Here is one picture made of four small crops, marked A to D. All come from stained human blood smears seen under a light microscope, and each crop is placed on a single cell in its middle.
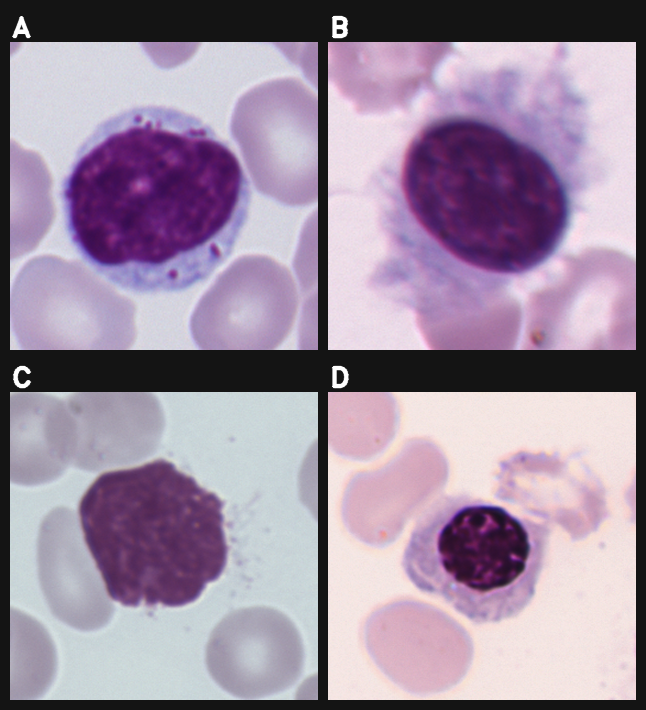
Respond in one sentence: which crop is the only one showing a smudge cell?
Look at crop C; that is the one with a smudge cell in its center.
